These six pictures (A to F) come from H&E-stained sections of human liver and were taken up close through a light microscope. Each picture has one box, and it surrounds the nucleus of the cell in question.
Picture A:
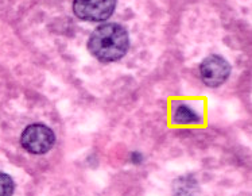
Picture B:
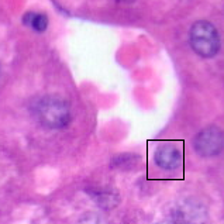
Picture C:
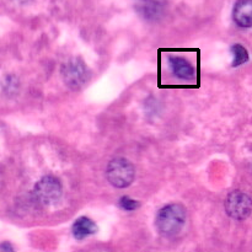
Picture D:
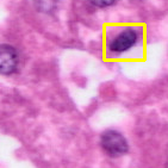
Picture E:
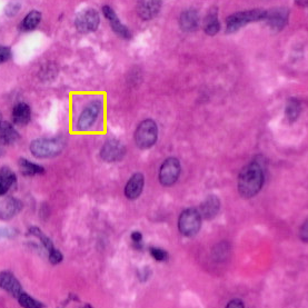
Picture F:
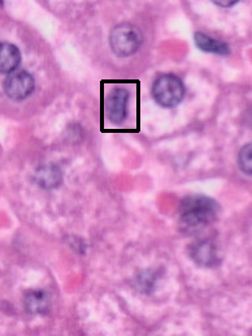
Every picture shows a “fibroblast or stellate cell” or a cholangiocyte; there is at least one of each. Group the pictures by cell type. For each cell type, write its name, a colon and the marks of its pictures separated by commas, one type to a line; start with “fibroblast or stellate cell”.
fibroblast or stellate cell: A, C, D, F
cholangiocyte: B, E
